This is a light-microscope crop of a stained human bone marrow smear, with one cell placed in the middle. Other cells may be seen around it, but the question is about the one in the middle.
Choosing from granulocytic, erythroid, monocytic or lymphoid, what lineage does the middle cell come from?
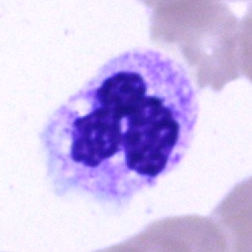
granulocytic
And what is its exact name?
segmented neutrophil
